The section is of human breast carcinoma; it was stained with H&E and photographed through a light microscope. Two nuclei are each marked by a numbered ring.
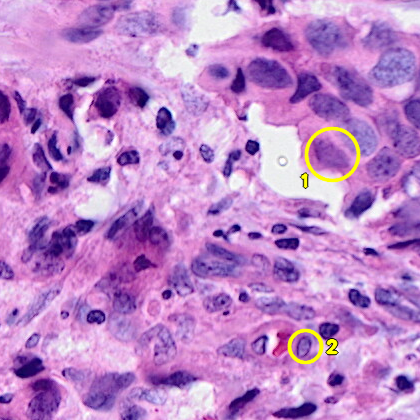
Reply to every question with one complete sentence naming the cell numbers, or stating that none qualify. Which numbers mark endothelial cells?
There is just one numbered cell that is an endothelial cell, and it is cell 2.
